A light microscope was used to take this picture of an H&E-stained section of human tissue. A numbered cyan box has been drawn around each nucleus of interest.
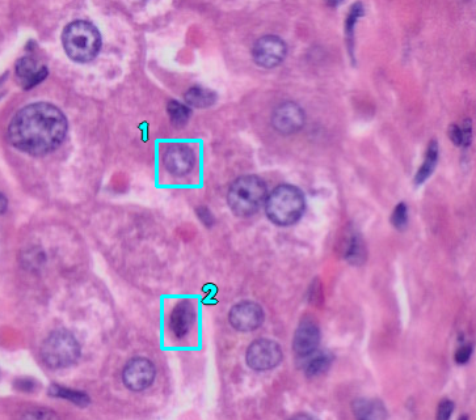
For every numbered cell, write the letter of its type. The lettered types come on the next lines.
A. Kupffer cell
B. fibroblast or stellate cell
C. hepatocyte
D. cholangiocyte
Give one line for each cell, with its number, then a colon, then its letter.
1: C
2: A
